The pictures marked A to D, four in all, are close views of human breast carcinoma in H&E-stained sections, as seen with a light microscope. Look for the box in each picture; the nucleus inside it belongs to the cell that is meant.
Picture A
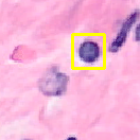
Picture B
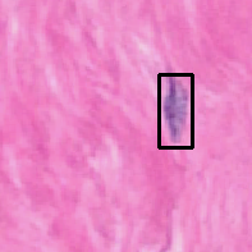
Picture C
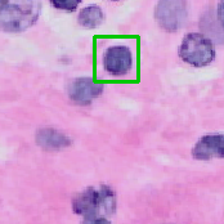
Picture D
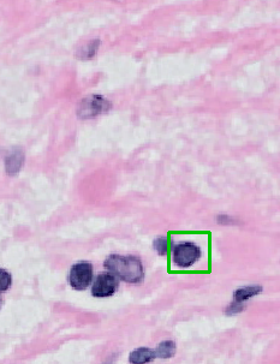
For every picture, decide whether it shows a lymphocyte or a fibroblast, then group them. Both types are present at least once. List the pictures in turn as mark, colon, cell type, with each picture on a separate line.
A: lymphocyte
B: fibroblast
C: lymphocyte
D: lymphocyte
